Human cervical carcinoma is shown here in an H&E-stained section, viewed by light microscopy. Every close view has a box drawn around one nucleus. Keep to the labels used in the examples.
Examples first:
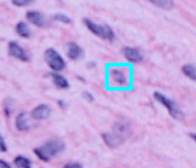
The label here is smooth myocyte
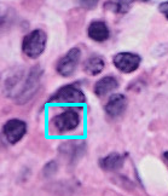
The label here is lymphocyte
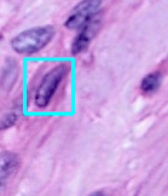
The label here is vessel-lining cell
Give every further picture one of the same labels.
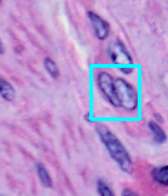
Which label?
vessel-lining cell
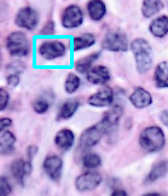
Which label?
lymphocyte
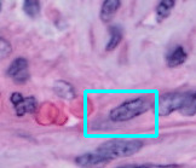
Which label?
vessel-lining cell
